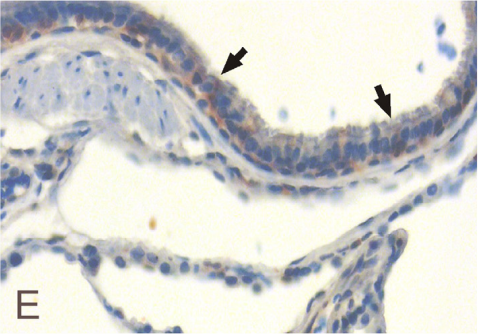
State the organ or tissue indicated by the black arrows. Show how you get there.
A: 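The arrows point to a tall, multilayered lining of columnar cells along an airway lumen. The lining shows brownish staining between densely packed nuclei. Smooth muscle and connective tissue lie beneath the lining. The answer: bronchial epithelium.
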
